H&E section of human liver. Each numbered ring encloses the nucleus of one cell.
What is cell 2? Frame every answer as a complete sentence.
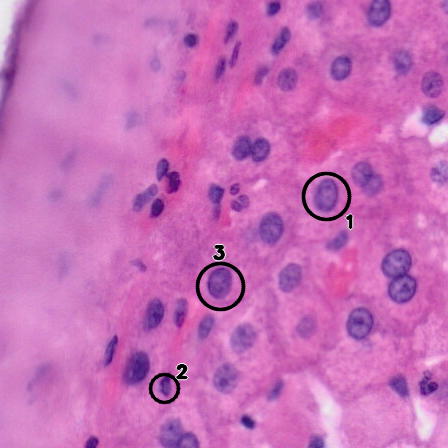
Looking at the numbered marks, cell 2 is a fibroblast or stellate cell.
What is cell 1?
The correct answer for cell 1 is a hepatocyte.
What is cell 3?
That cell with number 3 is a hepatocyte.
